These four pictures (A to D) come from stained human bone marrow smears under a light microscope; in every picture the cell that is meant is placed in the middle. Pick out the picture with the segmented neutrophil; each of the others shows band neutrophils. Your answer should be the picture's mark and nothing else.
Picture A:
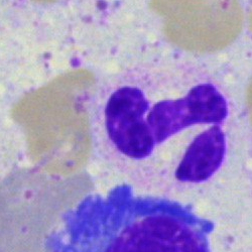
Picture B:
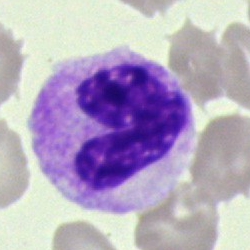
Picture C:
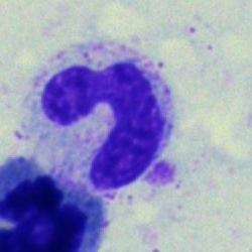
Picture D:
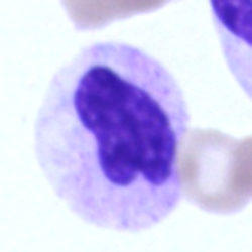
A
